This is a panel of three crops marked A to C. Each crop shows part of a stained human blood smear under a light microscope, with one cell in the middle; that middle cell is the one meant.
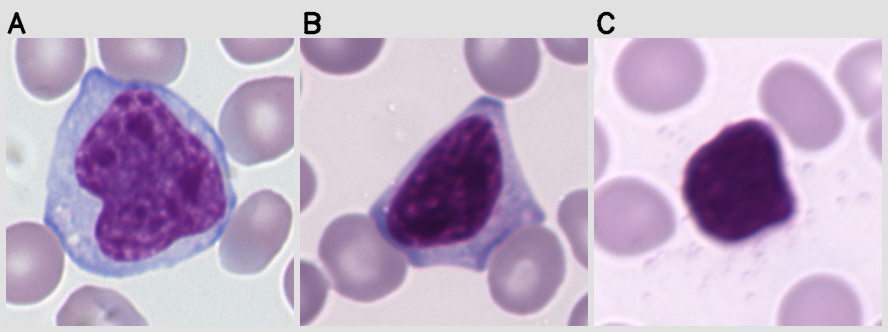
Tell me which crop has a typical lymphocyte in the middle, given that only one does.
B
